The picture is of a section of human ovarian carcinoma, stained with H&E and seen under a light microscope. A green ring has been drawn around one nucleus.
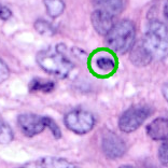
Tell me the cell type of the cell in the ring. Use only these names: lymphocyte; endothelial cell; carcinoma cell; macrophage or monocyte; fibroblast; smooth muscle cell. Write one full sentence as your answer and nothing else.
It is a lymphocyte that the cell in the ring represents.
